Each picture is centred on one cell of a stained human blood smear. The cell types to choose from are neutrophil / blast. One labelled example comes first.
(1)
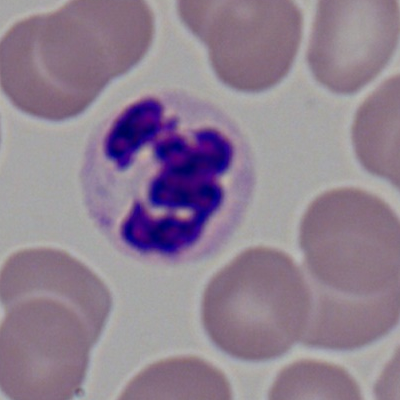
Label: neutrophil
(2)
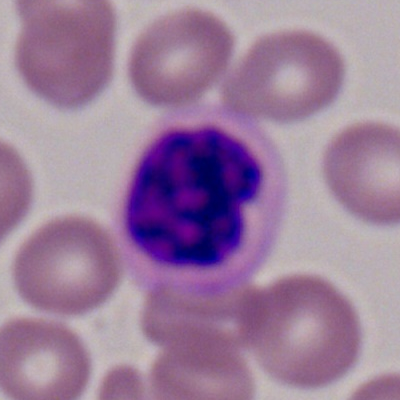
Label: neutrophil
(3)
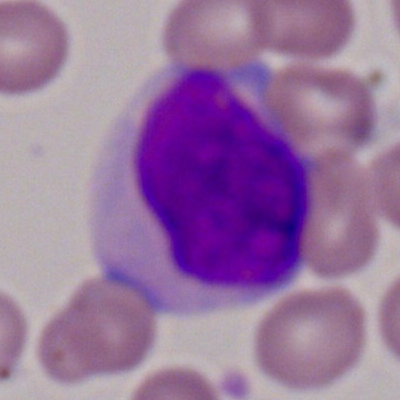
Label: blast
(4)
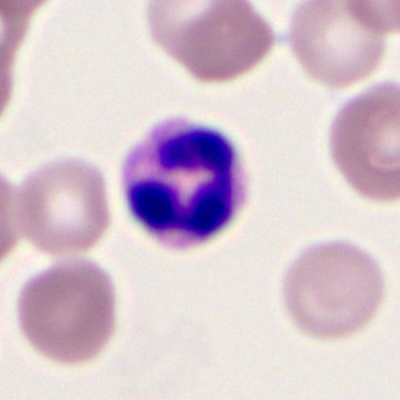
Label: neutrophil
